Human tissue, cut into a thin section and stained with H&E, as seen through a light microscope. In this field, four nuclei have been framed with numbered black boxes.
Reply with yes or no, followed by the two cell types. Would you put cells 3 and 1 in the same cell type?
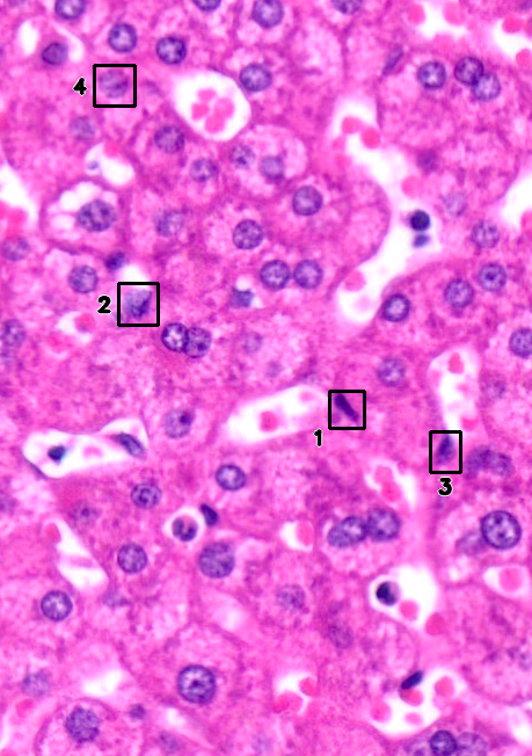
Yes, both are fibroblasts or stellate cells.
